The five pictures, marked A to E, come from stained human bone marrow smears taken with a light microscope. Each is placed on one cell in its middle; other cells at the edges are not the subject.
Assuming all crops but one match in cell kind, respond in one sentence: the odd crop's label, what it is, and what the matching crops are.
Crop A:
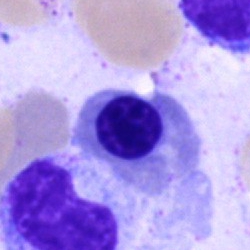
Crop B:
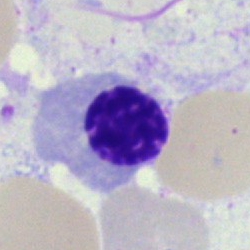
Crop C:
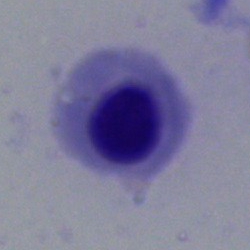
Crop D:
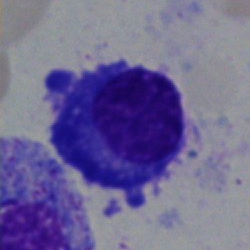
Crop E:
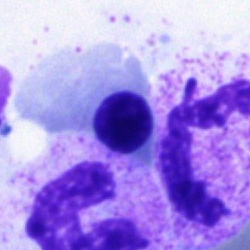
Crop D is the different one, a plasma cell, while the rest are normoblasts.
